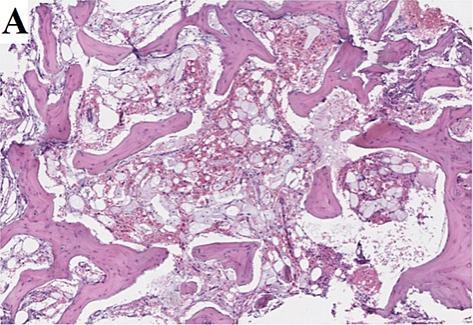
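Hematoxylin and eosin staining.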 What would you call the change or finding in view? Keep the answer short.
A: Microvacuolated cytoplasm.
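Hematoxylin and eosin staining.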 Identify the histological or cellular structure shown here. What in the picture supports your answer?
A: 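Bone trabeculae. Branching bands of dense pink matrix cross the field. Between the bands lie spaces filled with cells.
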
